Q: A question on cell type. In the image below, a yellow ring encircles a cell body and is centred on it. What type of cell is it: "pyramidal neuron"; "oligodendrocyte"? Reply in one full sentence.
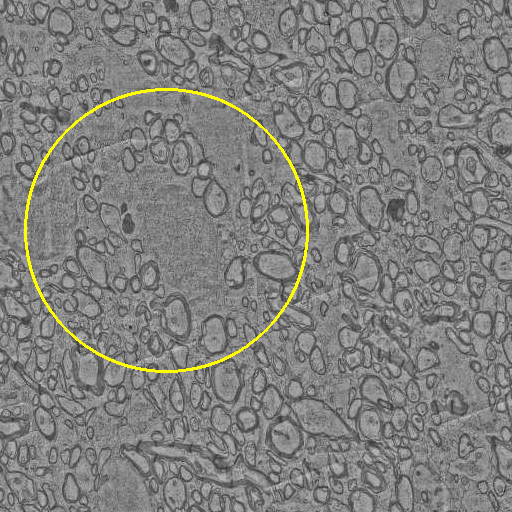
It is an oligodendrocyte whose cell body sits at the centre of the yellow ring in the image.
